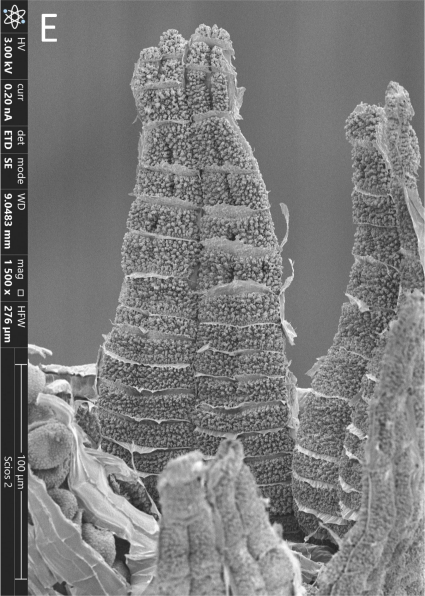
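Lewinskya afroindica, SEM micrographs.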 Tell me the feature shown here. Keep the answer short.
two paired teeth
